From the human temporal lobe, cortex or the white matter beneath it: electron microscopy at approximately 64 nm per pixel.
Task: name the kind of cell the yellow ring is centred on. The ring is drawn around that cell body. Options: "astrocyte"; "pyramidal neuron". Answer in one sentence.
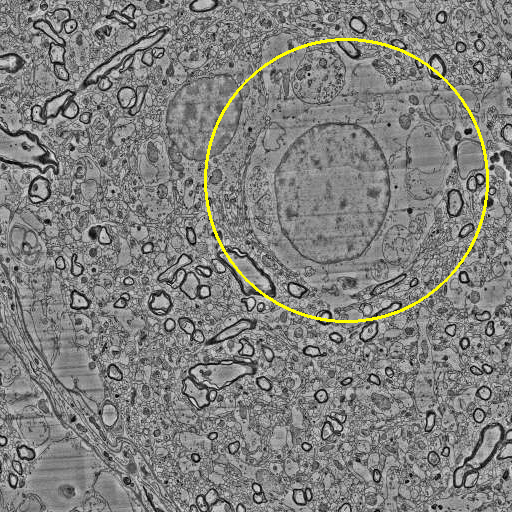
This cell body belongs to an astrocyte.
